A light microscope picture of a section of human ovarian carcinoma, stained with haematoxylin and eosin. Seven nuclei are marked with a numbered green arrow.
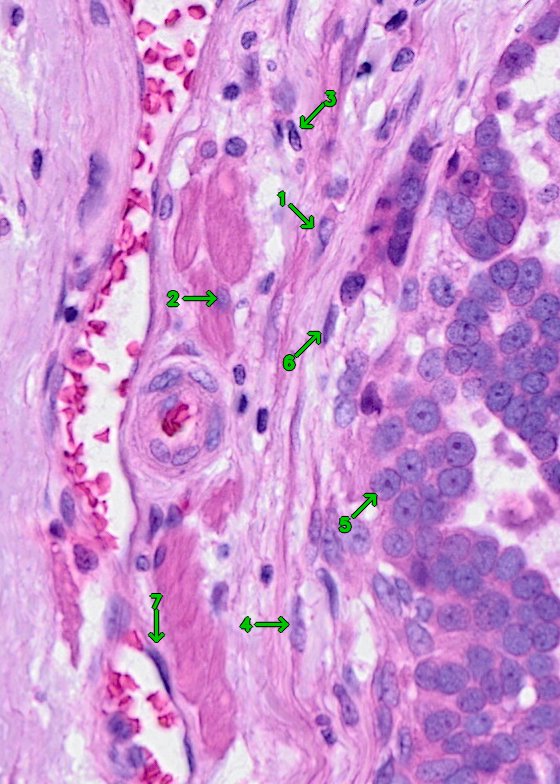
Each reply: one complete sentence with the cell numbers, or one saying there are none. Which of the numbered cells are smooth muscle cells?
With the exception of cell 2, no marked cell is a smooth muscle cell.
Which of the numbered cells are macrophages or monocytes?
In short, macrophages or monocytes do not occur among the numbered cells.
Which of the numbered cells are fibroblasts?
The cells the numbers 1, 4 and 6 point to are fibroblasts.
